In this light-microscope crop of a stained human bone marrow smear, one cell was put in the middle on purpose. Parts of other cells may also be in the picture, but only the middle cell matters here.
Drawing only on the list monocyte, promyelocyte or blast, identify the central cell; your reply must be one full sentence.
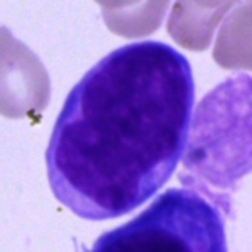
The cell positioned in the middle of the field is a blast.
